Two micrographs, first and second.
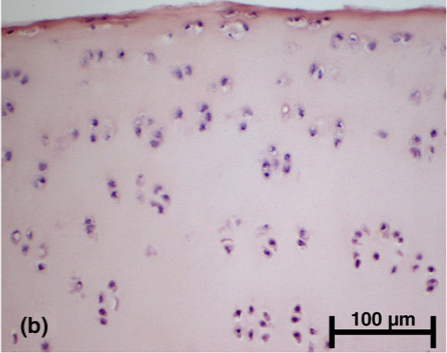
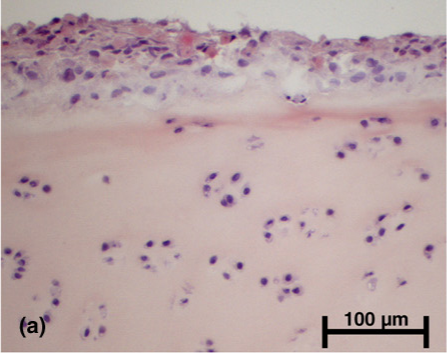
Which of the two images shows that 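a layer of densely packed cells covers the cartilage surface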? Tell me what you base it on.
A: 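First image: the cartilage surface is bare, with only a thin dark pink rim at the top edge. Second image: a thick, cellular layer of packed oval nuclei lies on top of the cartilage matrix. That points to this answer: the second image.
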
